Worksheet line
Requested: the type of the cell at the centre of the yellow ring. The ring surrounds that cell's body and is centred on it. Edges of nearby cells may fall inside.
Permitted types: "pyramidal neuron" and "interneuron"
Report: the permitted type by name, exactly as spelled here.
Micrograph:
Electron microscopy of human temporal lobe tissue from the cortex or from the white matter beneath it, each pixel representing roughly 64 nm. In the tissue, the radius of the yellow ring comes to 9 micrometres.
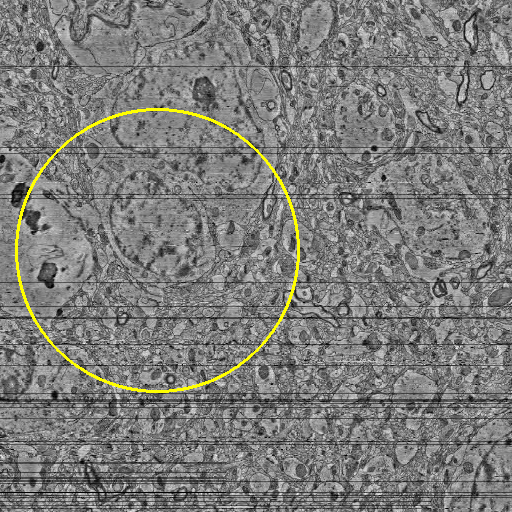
interneuron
